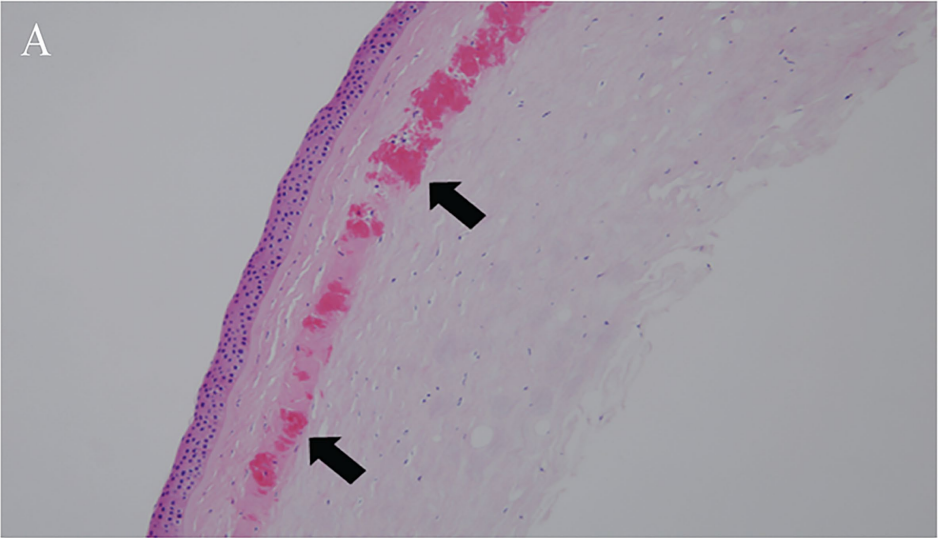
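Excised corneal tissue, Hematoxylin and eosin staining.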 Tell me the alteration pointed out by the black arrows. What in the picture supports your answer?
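Eosinophilic granular deposits. Bright pink, clumped granular material lies where the arrows point. The deposits form a discontinuous band running parallel to the surface. The band lies in the stroma a short distance beneath the cellular surface layer.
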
